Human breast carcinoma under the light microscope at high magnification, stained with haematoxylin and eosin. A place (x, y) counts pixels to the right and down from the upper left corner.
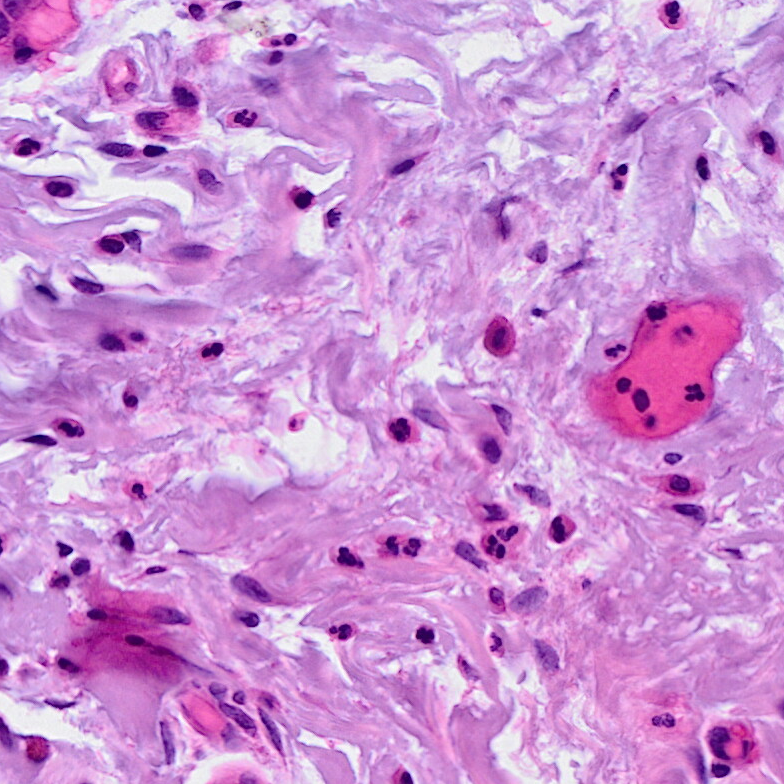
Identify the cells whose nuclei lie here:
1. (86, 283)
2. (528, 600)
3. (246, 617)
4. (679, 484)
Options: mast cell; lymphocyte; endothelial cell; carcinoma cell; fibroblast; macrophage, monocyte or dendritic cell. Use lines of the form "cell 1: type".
cell 1: fibroblast
cell 2: fibroblast
cell 3: fibroblast
cell 4: mast cell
